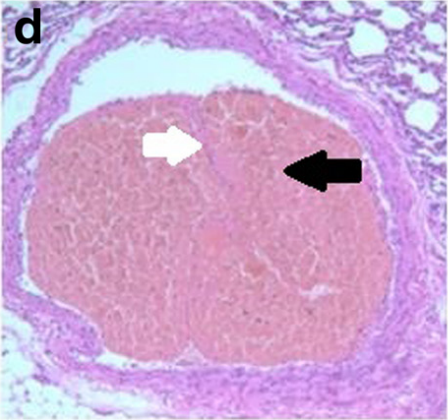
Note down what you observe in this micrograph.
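A cross-section of a pulmonary artery in lung tissue whose lumen is filled by a thrombus. The thrombus is a rounded mass of tightly packed pink-red red blood cells with few scattered nuclei, and it has partly separated from the vessel wall, leaving a clear cleft along one side. A paler pink streak runs into the red cell mass from its surface. The artery wall is a layer of pink smooth muscle with purple nuclei, surrounded by looser connective tissue. Outside the vessel, thin-walled alveoli form open, lace-like spaces.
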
